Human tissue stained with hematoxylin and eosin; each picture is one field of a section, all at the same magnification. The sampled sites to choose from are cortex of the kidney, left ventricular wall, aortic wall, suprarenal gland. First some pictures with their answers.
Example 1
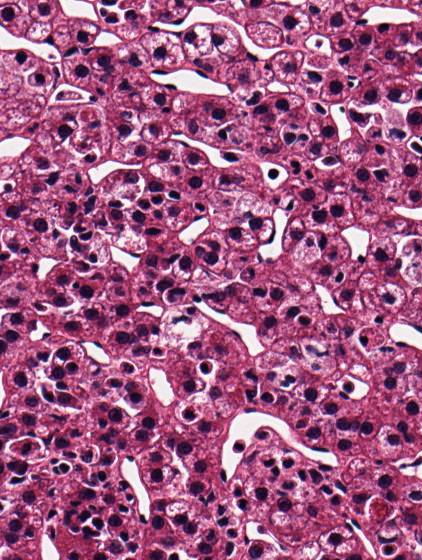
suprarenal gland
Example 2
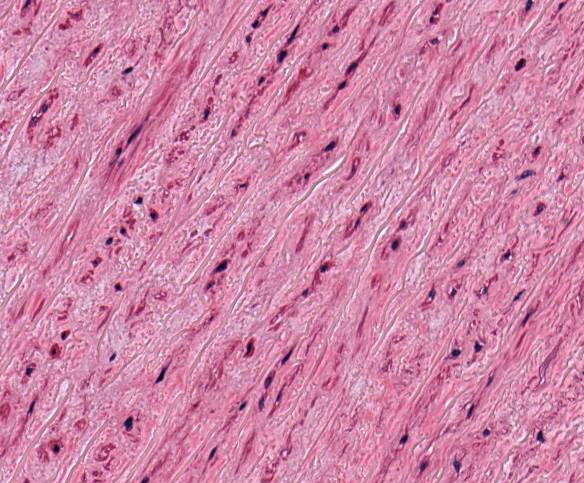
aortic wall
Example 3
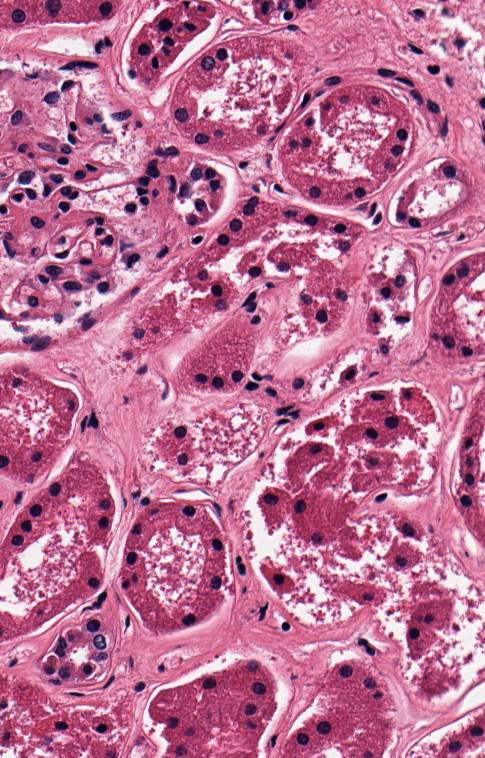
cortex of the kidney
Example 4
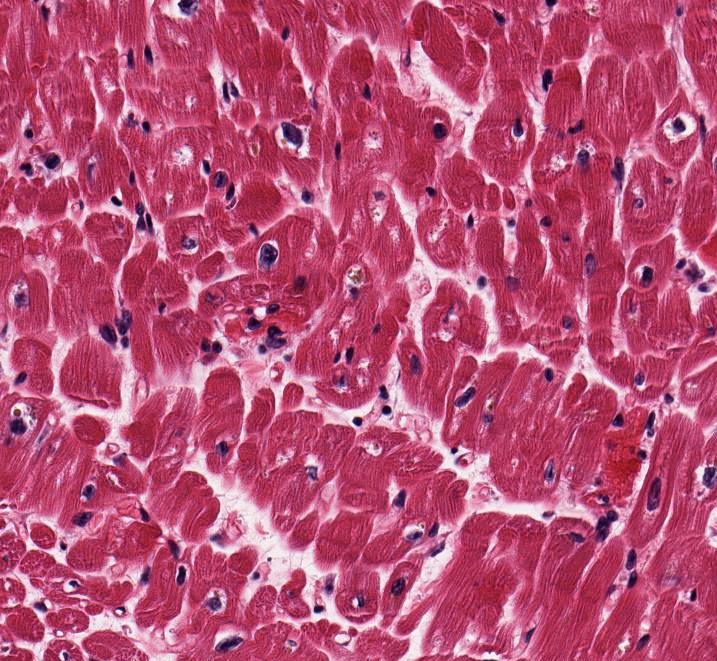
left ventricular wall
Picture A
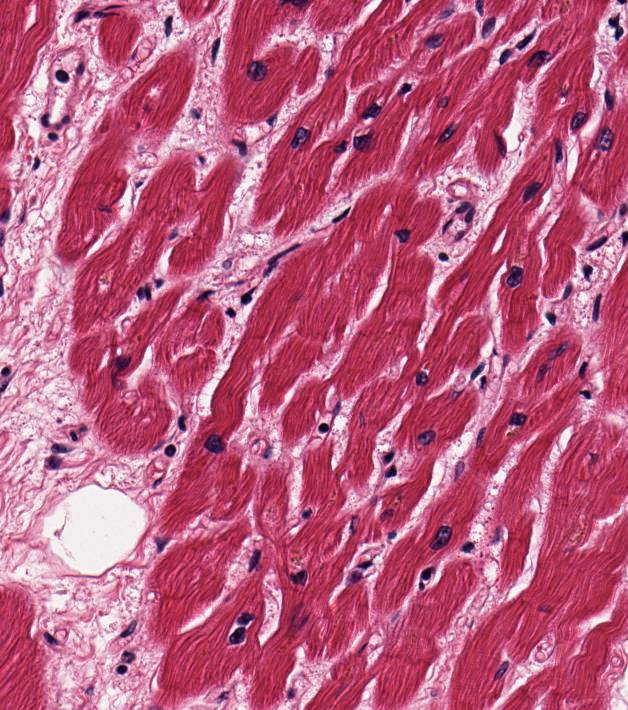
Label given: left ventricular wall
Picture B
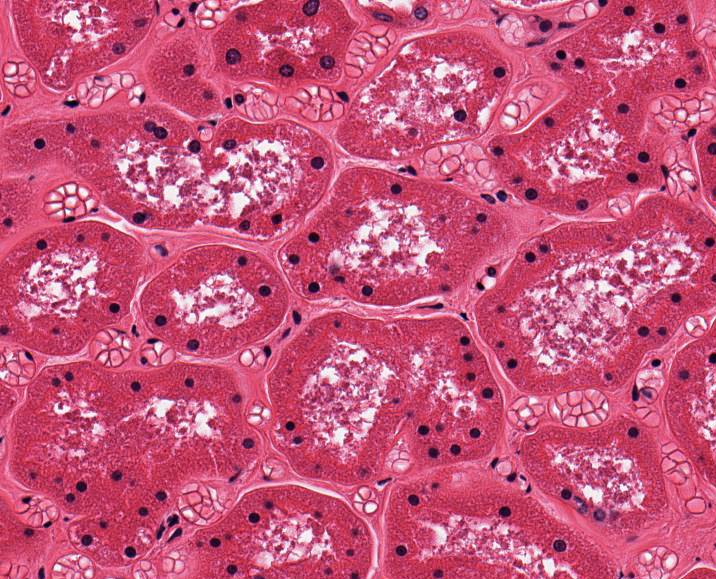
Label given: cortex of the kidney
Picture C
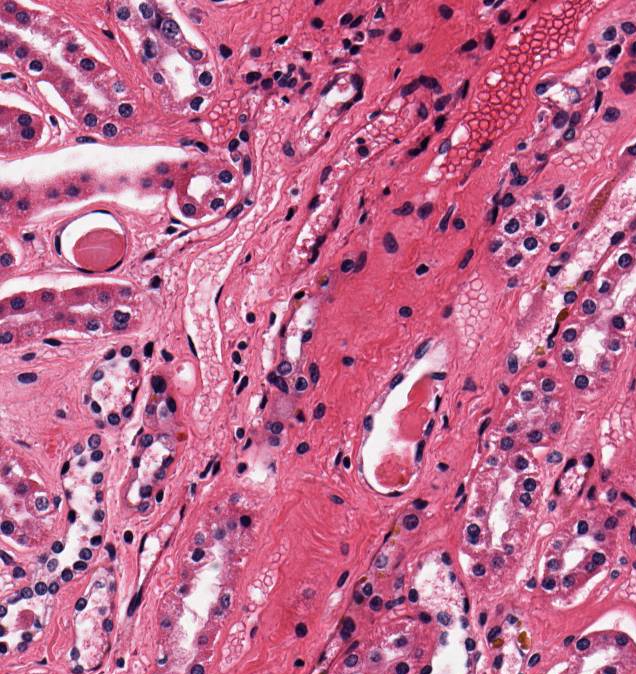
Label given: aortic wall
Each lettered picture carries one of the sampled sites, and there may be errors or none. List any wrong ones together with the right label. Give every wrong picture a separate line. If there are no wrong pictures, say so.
Wrong: C (aortic wall); correct: cortex of the kidney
